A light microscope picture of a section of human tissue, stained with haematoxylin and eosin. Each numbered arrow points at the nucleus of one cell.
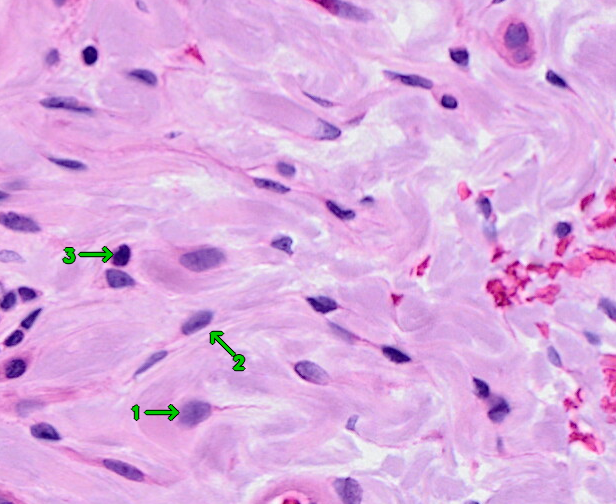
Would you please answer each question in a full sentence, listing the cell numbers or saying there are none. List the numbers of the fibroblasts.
Cells 1 and 2 are fibroblasts by cell type.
